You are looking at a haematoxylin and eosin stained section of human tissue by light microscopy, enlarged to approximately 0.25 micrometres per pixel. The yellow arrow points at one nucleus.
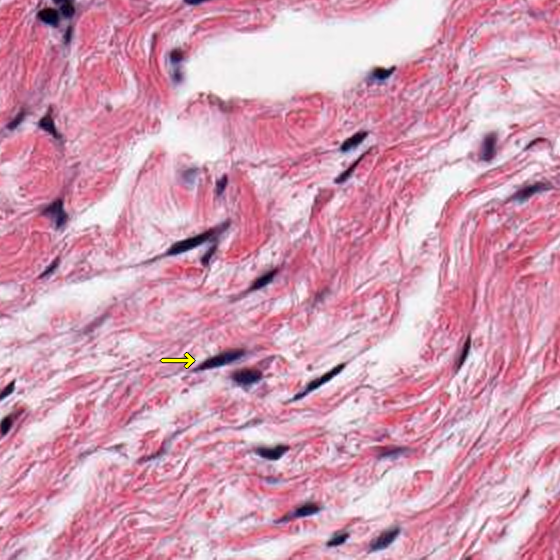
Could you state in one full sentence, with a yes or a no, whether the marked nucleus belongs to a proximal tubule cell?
No, the marked nucleus is assigned not to a proximal tubule cell but to a supporting cell.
